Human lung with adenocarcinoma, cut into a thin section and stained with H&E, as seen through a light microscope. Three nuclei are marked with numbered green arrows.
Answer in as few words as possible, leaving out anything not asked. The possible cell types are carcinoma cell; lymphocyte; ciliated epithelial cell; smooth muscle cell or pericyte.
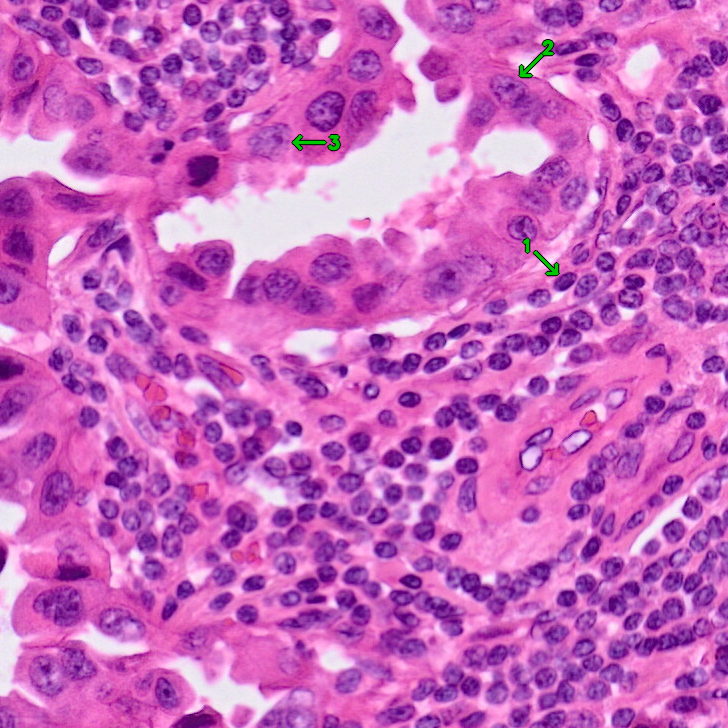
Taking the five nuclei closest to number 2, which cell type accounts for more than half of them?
carcinoma cell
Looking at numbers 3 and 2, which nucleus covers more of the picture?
3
